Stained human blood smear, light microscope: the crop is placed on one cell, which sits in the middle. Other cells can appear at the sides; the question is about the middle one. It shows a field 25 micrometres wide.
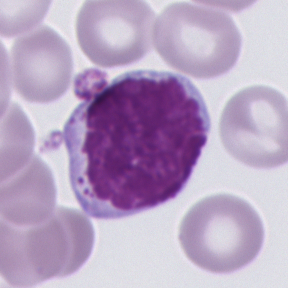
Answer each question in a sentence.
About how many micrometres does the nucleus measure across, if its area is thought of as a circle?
Taken as a circle, the nucleus has a diameter of about 11 micrometres.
